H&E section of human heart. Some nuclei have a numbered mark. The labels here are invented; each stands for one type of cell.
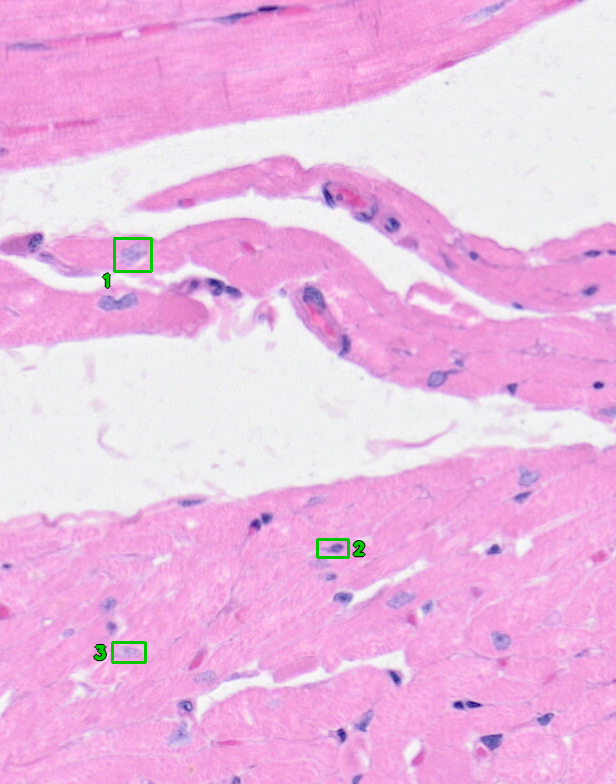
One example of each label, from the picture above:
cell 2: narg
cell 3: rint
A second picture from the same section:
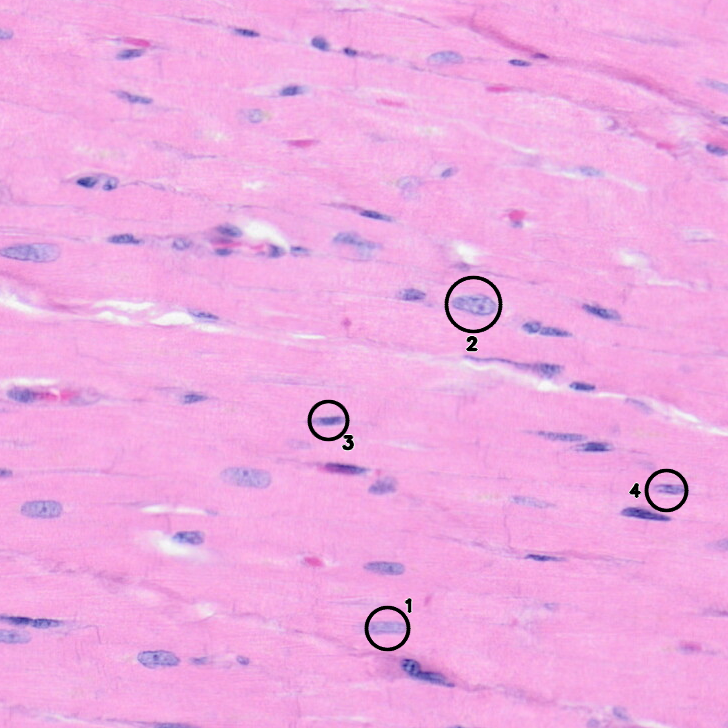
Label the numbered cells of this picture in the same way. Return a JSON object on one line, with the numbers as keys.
{"1": "rint", "2": "rint", "3": "narg", "4": "narg"}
